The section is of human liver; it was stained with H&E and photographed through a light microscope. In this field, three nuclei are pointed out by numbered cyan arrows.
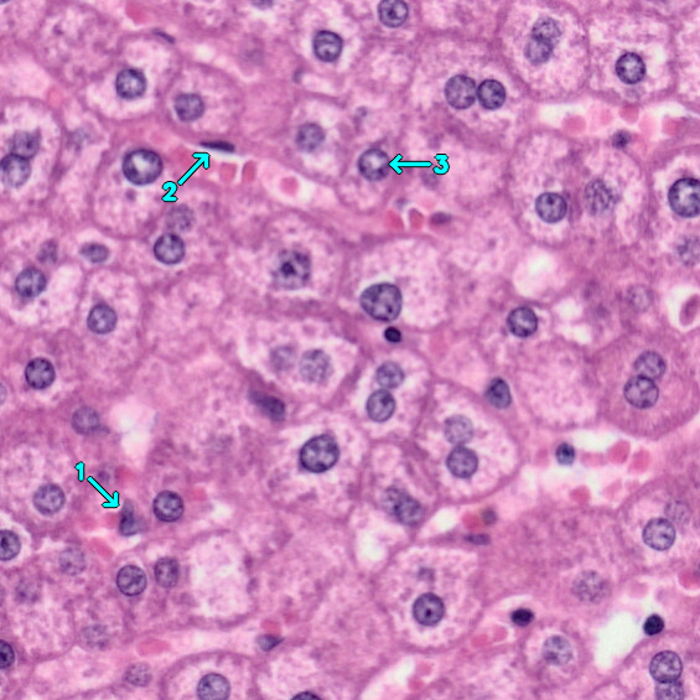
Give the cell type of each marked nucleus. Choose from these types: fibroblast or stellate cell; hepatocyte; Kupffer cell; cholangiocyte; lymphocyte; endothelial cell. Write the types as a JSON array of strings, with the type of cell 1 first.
["Kupffer cell", "endothelial cell", "hepatocyte"]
